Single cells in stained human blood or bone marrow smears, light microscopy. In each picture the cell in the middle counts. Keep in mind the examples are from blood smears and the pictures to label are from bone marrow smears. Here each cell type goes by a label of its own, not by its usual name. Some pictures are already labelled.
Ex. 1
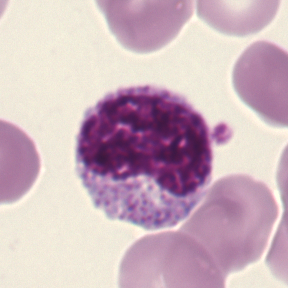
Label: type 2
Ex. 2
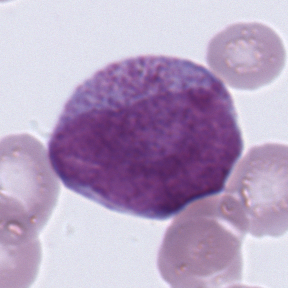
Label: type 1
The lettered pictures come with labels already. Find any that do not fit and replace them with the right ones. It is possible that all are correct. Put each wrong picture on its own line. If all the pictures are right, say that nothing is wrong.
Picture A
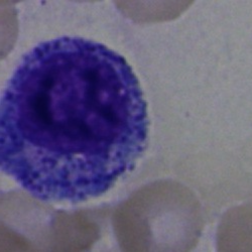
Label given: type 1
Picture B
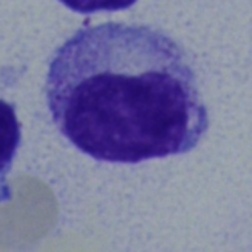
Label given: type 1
B: not type 1 but type 2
